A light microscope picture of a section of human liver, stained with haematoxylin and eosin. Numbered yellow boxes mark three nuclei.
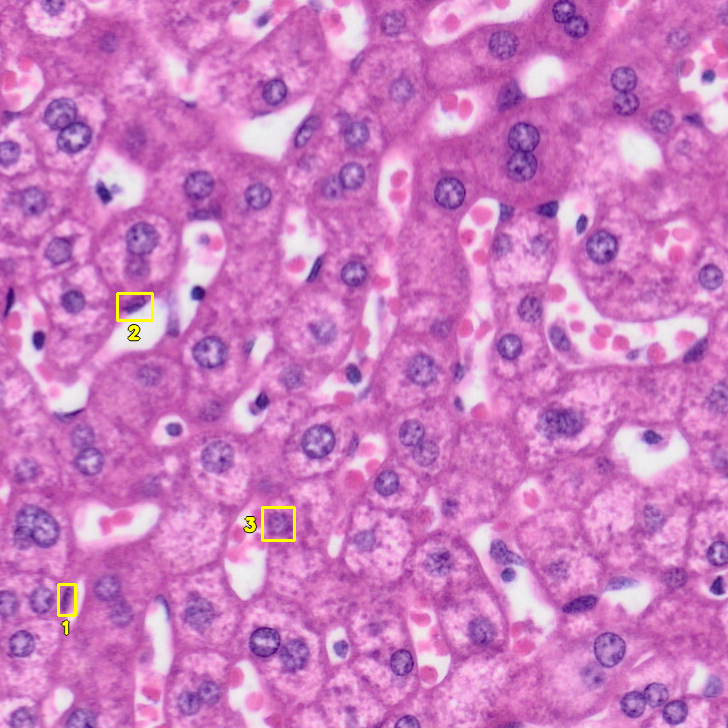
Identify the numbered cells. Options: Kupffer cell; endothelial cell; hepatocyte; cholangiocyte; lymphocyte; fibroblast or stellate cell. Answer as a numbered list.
1. Kupffer cell
2. endothelial cell
3. hepatocyte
